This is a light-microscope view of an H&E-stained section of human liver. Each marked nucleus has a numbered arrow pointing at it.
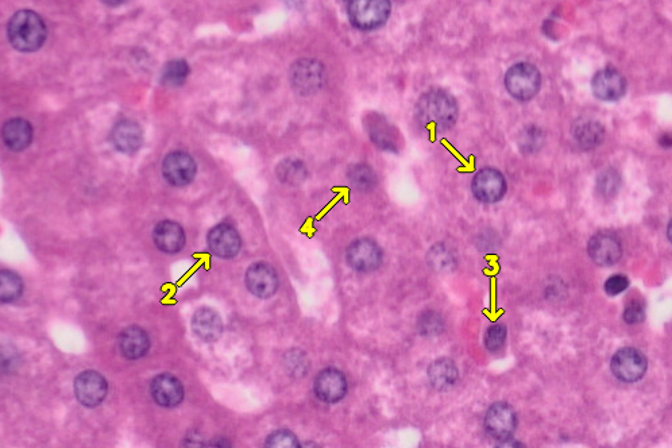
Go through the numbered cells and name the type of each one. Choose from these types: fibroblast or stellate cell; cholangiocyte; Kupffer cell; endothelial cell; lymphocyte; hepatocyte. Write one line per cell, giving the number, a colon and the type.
1: hepatocyte
2: hepatocyte
3: Kupffer cell
4: hepatocyte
